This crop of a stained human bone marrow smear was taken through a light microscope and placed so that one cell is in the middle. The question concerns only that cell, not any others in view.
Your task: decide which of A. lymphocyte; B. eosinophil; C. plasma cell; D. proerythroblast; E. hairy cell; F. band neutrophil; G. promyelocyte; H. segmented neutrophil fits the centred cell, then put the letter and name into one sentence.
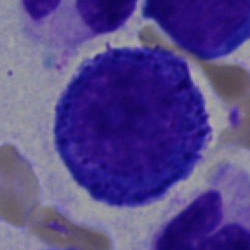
Given that the cell in the middle is a proerythroblast, option D is correct.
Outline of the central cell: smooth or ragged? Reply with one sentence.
The cell outline lacks smoothness, being ragged or extended into projections.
